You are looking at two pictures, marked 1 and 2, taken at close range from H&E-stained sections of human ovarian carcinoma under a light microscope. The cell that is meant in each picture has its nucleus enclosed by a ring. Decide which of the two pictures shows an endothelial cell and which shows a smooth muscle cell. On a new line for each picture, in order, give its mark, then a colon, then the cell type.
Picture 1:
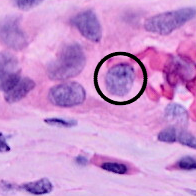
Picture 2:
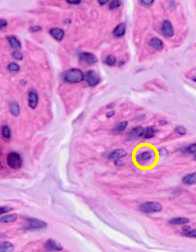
1: endothelial cell
2: smooth muscle cell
